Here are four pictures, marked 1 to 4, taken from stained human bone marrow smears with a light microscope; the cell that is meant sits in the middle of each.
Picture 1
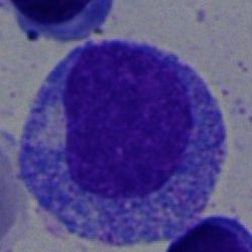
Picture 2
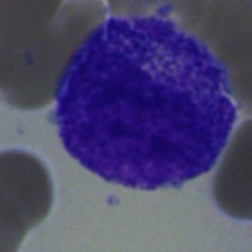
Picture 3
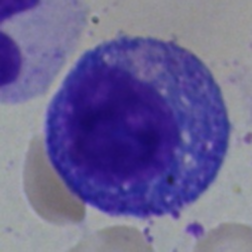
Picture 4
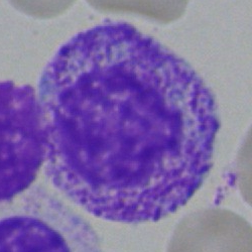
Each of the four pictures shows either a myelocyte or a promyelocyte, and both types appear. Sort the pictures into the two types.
1: promyelocyte
2: myelocyte
3: promyelocyte
4: myelocyte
